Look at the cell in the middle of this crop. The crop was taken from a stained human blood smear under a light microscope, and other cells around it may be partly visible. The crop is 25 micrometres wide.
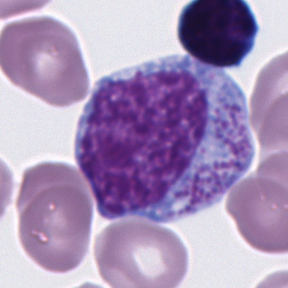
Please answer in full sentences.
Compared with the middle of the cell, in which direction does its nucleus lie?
The nucleus sits off-centre, toward the left.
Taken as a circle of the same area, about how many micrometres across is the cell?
It measures about 15 micrometres across.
